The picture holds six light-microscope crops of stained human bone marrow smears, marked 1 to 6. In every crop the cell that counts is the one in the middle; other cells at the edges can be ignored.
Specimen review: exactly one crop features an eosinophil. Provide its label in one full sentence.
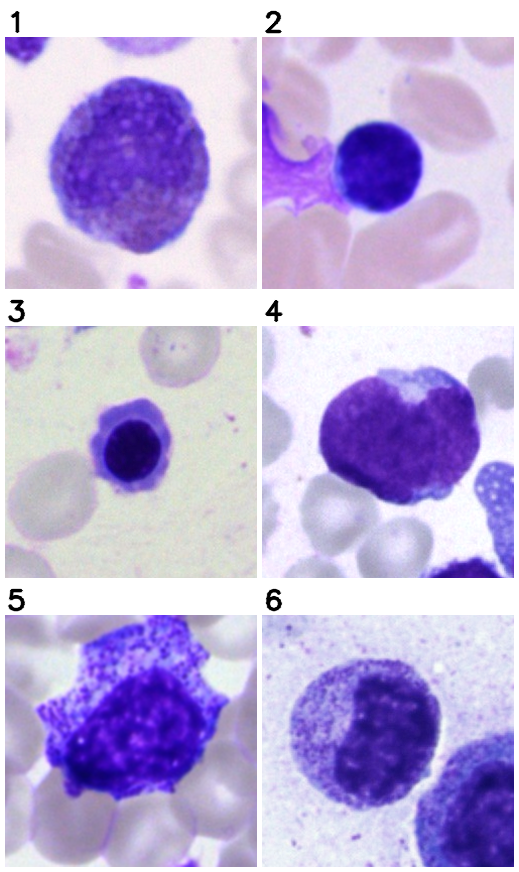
Crop 1 is the one that shows an eosinophil.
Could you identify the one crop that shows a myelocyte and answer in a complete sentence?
Of the crops given, a myelocyte is found in crop 5.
